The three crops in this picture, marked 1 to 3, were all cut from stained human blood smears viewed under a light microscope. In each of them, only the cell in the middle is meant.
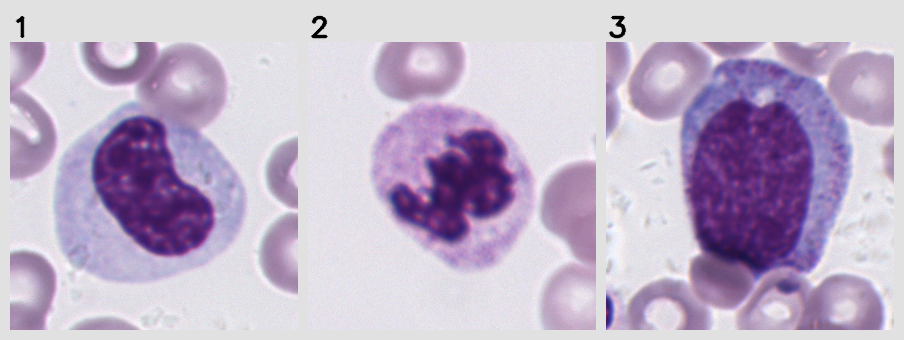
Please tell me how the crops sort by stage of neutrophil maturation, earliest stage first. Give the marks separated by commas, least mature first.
3, 1, 2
